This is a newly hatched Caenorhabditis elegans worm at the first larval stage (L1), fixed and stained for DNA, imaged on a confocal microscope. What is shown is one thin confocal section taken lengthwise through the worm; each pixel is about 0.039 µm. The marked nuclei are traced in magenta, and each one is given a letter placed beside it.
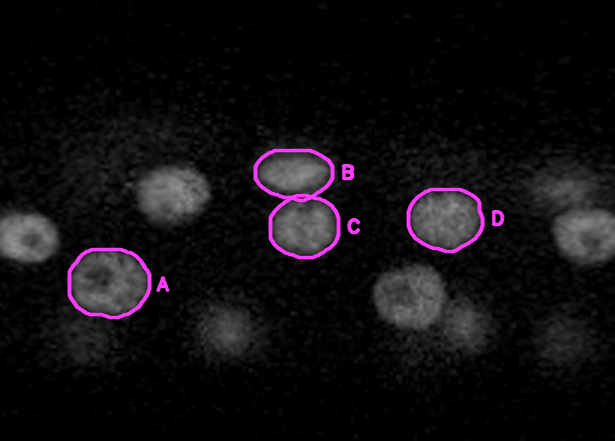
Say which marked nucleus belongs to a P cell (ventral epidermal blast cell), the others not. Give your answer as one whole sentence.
The nucleus of a P cell (ventral epidermal blast cell) is D.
